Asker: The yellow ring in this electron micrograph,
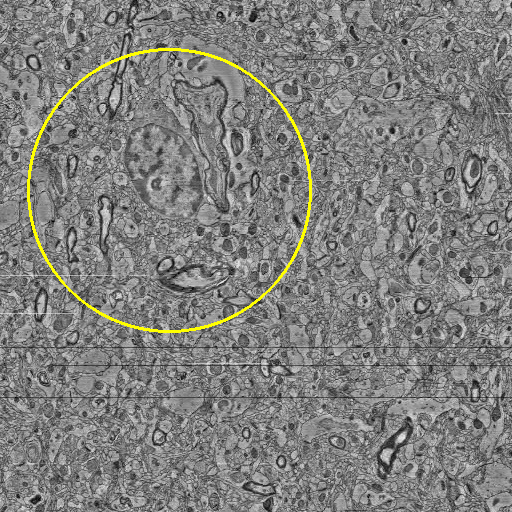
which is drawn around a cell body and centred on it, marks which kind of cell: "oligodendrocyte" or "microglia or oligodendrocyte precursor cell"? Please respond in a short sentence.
The marked cell is an oligodendrocyte.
